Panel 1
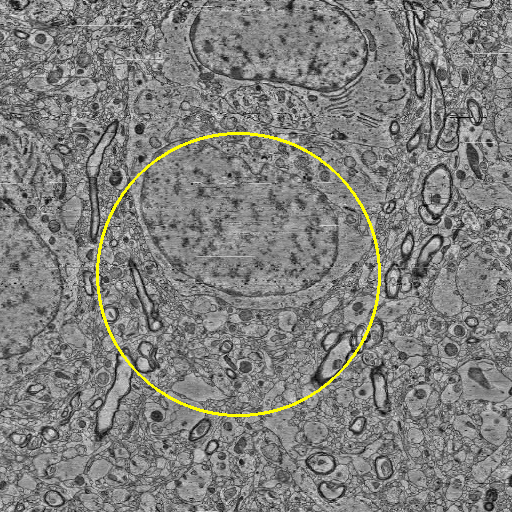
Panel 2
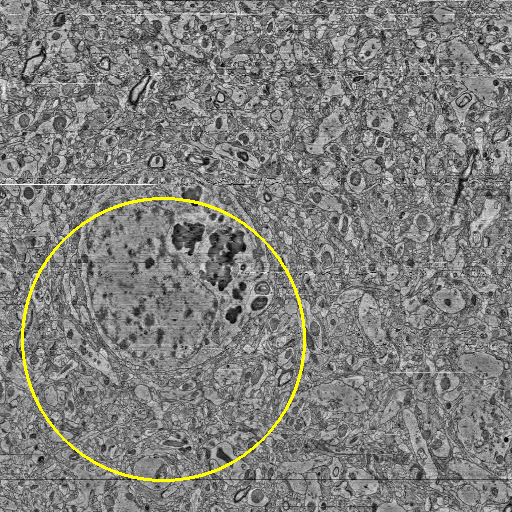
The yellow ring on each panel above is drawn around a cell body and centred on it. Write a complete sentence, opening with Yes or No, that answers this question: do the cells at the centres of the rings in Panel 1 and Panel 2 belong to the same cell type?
Yes, both cells belong to the same cell type.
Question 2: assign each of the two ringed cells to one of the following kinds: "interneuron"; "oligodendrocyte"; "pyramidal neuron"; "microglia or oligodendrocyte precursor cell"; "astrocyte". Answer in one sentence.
Both rings mark an interneuron, one in each picture.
